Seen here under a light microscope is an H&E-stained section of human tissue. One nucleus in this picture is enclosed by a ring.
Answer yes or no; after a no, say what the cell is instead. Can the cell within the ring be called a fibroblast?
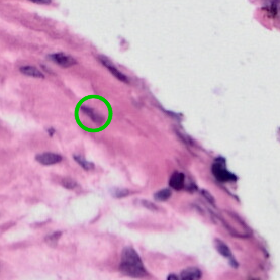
Yes.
